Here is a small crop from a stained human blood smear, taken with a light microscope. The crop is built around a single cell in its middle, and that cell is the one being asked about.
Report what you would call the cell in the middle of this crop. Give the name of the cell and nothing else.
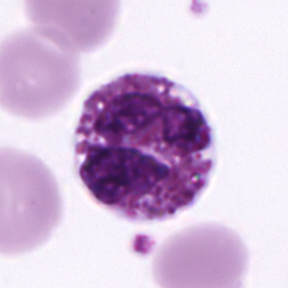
eosinophil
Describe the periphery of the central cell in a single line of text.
Its surface contour is regular and smooth, without any protrusions.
